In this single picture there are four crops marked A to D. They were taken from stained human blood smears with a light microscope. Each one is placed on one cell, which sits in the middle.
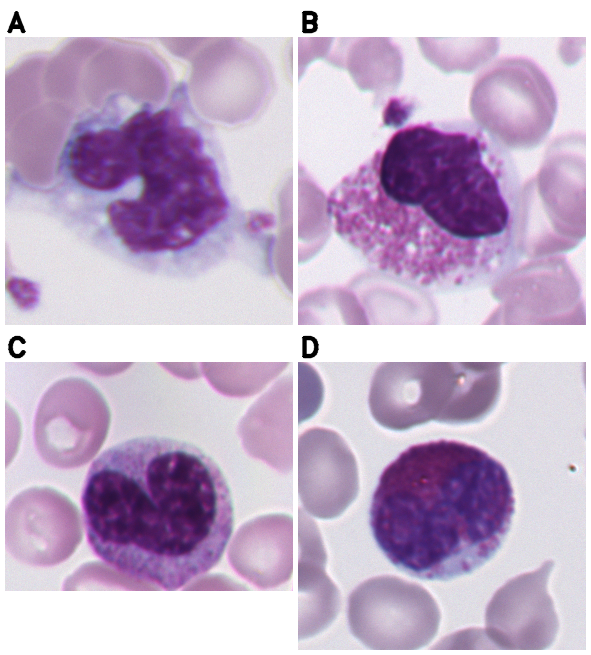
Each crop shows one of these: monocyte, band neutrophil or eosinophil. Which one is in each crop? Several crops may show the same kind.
A: monocyte
B: eosinophil
C: band neutrophil
D: eosinophil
